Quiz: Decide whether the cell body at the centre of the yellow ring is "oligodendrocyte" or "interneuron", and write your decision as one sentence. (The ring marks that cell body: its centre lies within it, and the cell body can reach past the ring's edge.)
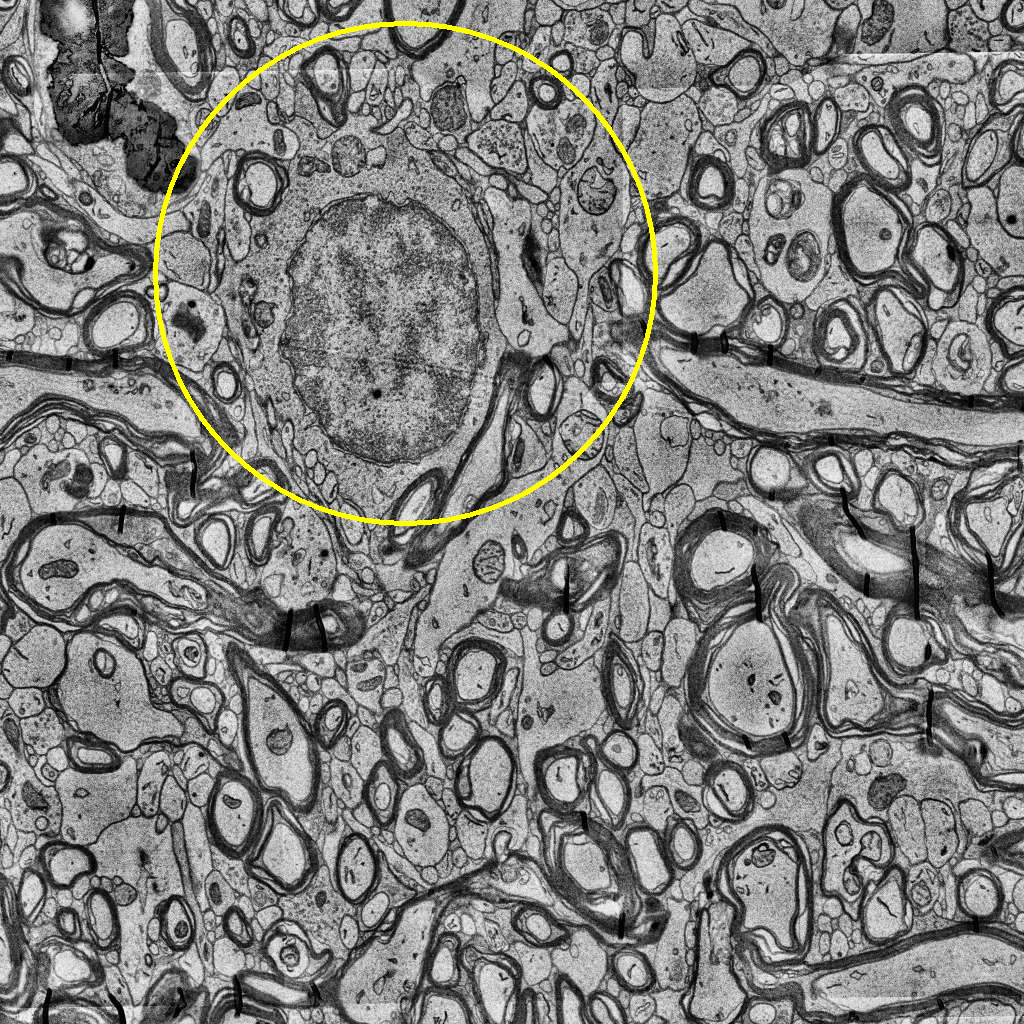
The cell holding the ring's centre is an oligodendrocyte.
